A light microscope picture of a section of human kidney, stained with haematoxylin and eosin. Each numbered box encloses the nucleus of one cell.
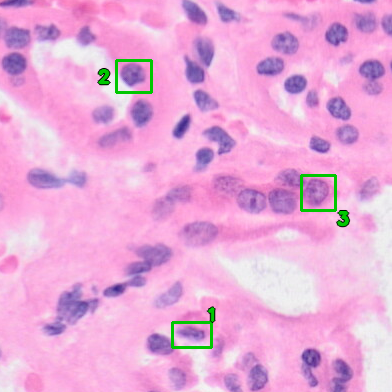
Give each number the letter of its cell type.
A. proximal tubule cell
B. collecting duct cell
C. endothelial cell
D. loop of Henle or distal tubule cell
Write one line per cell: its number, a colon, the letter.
1: D
2: D
3: A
